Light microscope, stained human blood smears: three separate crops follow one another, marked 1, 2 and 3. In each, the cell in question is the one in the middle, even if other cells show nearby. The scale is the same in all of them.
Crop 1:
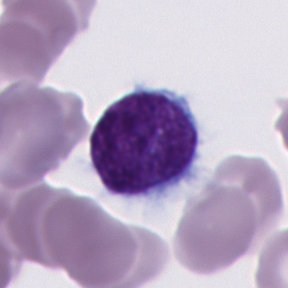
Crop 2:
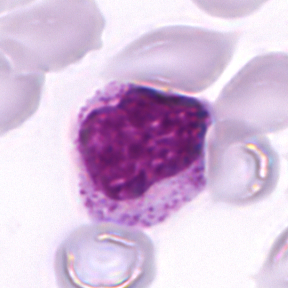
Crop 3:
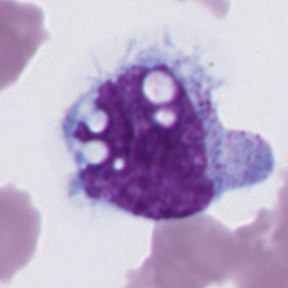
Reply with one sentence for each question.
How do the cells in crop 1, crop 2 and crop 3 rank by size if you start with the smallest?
The order is 1, 2, 3, beginning with the smallest.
